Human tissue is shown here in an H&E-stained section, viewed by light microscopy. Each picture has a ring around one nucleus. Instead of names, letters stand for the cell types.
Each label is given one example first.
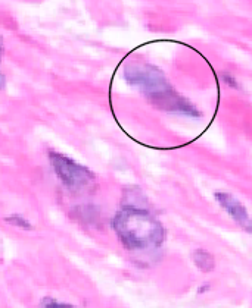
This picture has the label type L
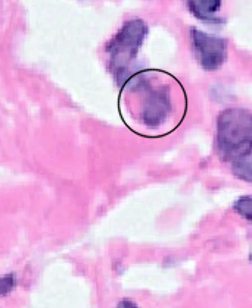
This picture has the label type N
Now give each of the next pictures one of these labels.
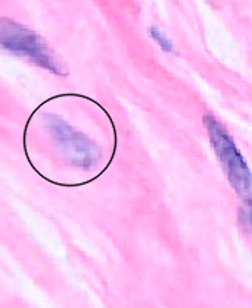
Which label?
type L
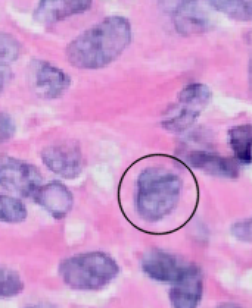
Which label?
type N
